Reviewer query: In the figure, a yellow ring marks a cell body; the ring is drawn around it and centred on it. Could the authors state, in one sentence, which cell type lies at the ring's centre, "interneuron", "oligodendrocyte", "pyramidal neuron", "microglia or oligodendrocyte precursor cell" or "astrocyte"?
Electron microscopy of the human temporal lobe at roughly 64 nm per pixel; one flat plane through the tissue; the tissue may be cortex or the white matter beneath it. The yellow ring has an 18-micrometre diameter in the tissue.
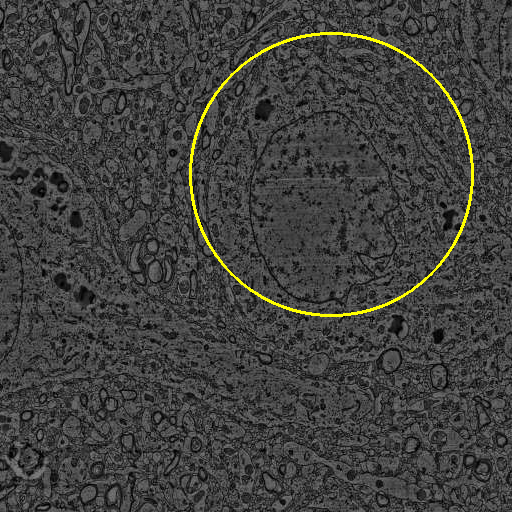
The ring is centred on a pyramidal neuron.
